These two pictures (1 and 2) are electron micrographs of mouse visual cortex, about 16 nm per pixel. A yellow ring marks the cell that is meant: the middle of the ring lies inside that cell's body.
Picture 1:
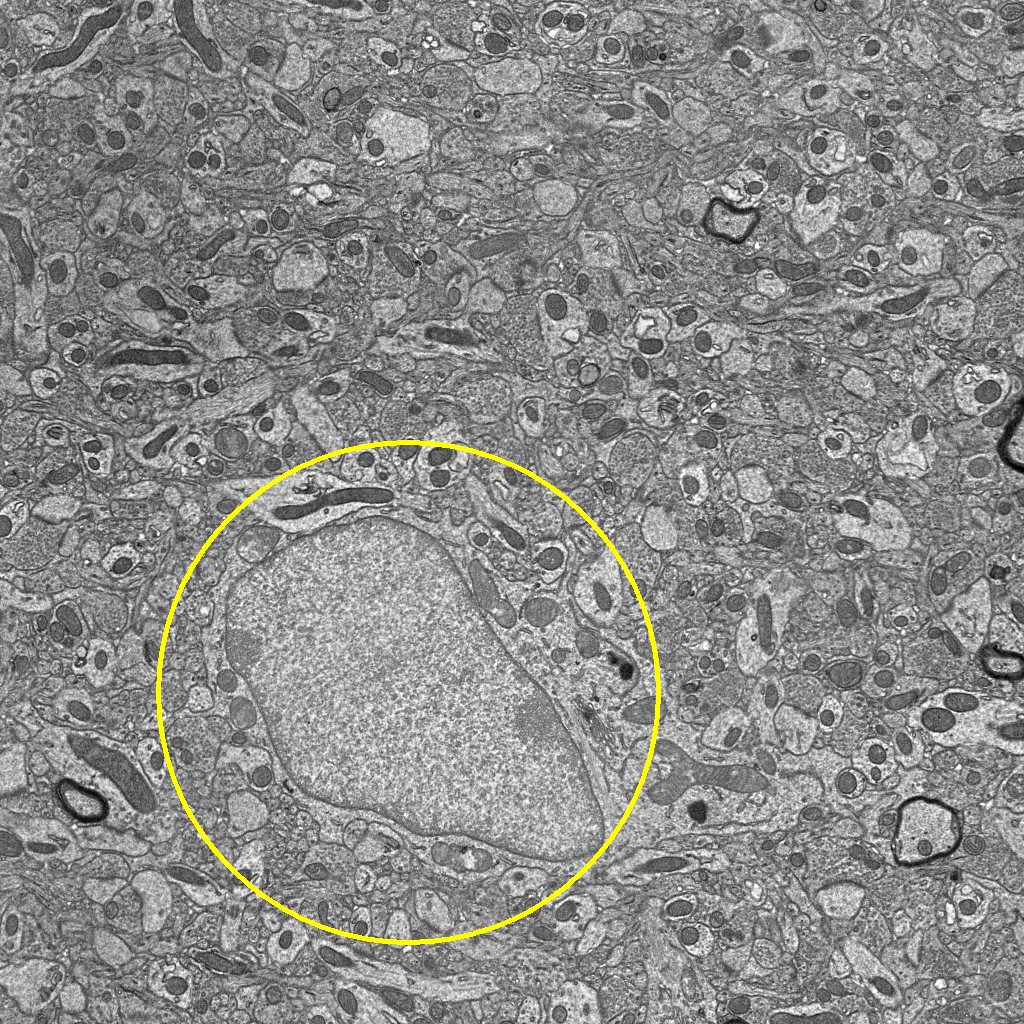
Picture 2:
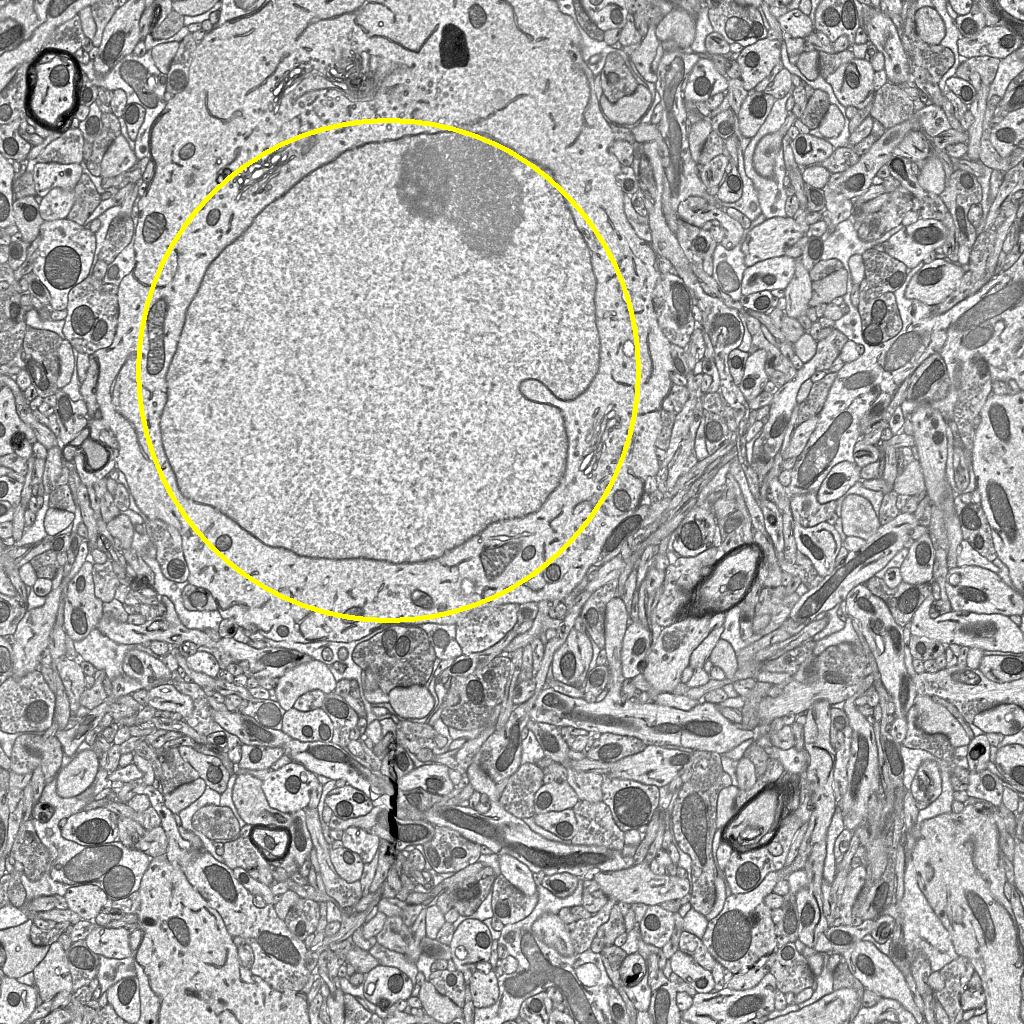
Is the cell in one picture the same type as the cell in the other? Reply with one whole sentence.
No. Picture 1 shows an astrocyte, but picture 2 shows an excitatory neuron.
